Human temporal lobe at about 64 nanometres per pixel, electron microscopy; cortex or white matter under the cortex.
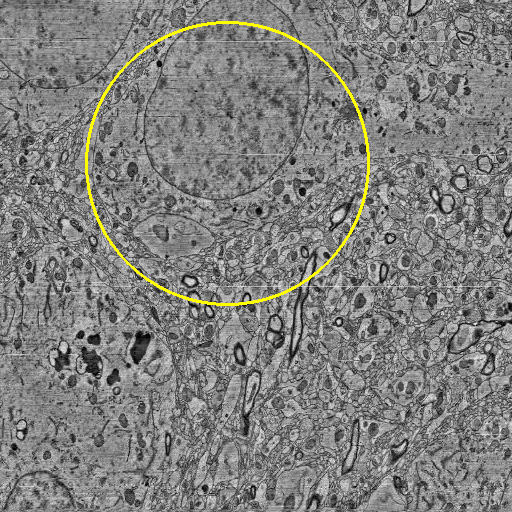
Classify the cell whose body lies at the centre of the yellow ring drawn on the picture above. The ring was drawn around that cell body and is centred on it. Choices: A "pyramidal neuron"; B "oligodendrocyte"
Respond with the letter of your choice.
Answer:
A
